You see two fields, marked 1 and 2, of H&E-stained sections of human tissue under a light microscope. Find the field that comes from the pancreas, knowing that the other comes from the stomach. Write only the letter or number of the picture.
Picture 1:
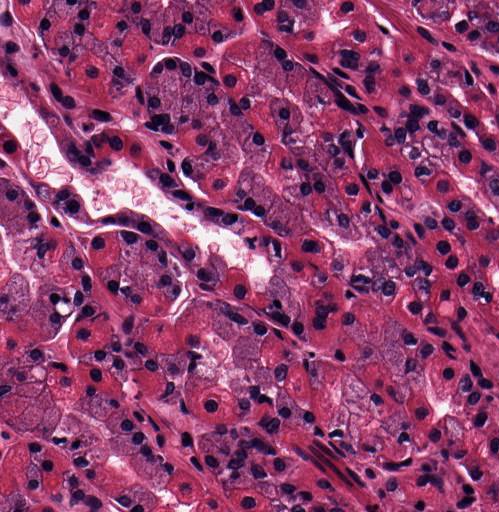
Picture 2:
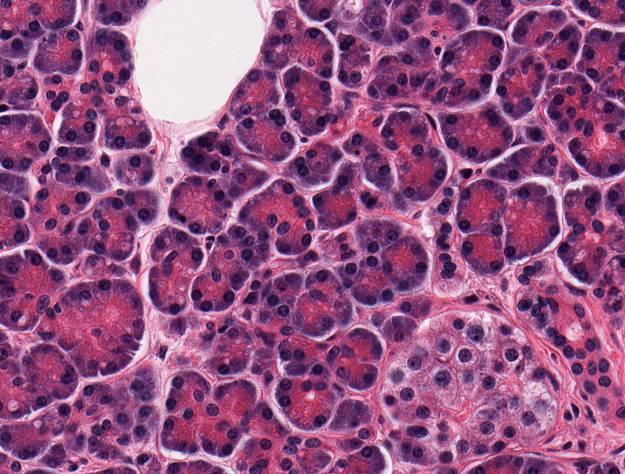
2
